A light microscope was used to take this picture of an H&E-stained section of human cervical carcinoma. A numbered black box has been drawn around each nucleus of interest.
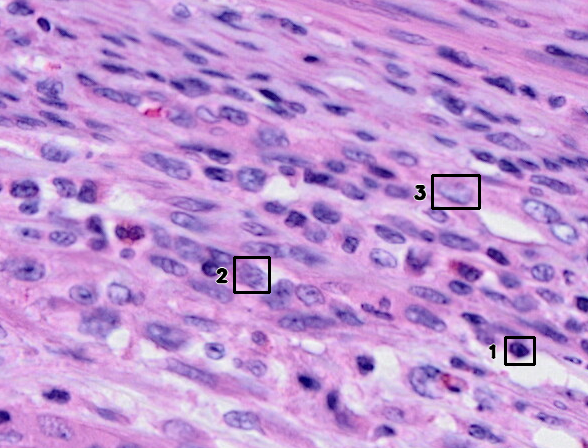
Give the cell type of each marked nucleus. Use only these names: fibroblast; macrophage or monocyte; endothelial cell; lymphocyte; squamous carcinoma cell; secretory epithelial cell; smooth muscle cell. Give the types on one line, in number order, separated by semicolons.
lymphocyte; endothelial cell; endothelial cell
